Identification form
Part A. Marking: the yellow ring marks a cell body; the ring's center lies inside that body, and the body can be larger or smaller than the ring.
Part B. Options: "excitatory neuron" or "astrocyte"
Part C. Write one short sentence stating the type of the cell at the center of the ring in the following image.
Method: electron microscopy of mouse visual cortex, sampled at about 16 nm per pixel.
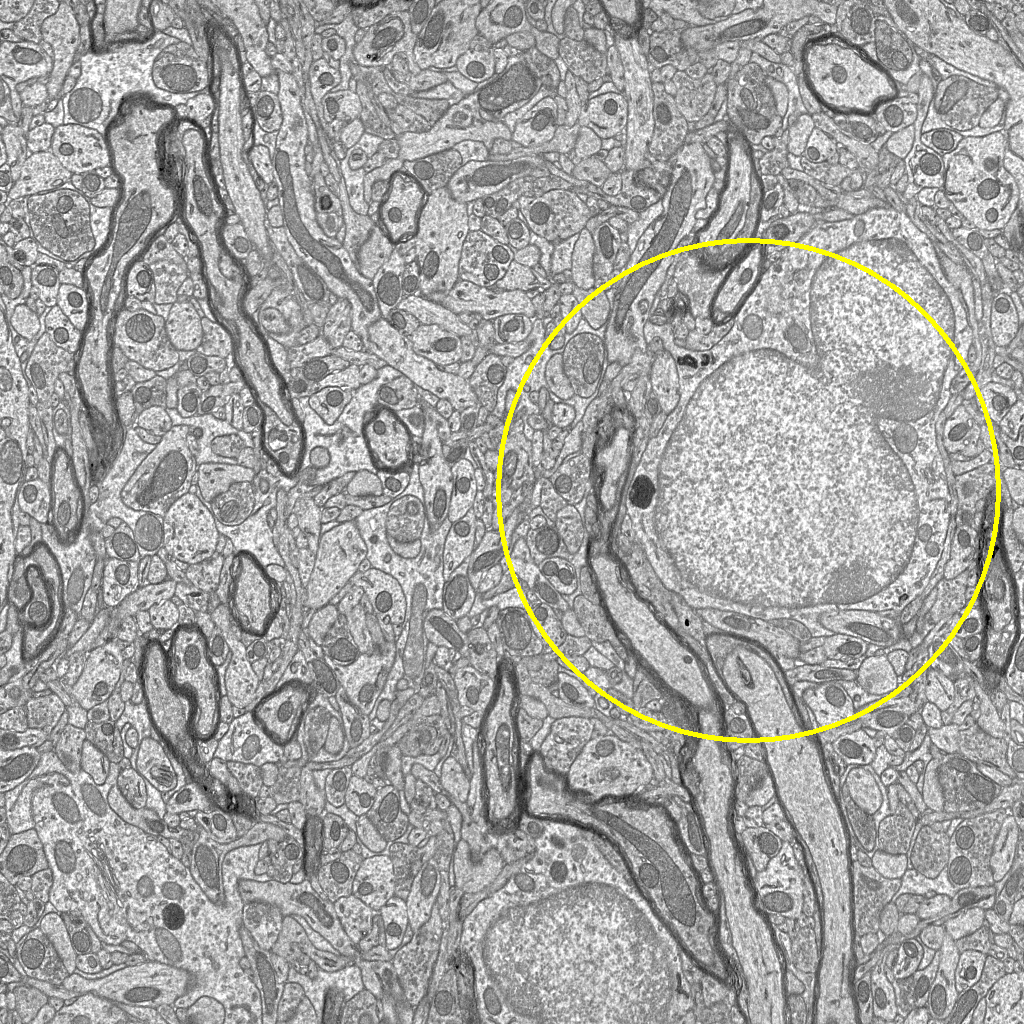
The center of the ring holds an astrocyte.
